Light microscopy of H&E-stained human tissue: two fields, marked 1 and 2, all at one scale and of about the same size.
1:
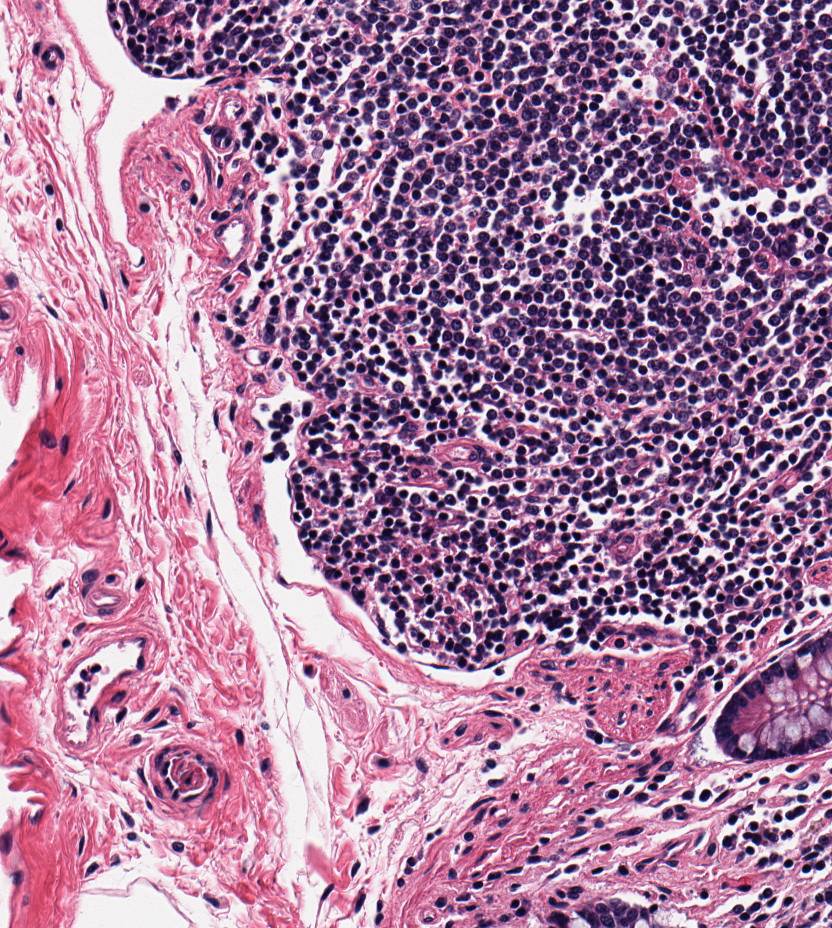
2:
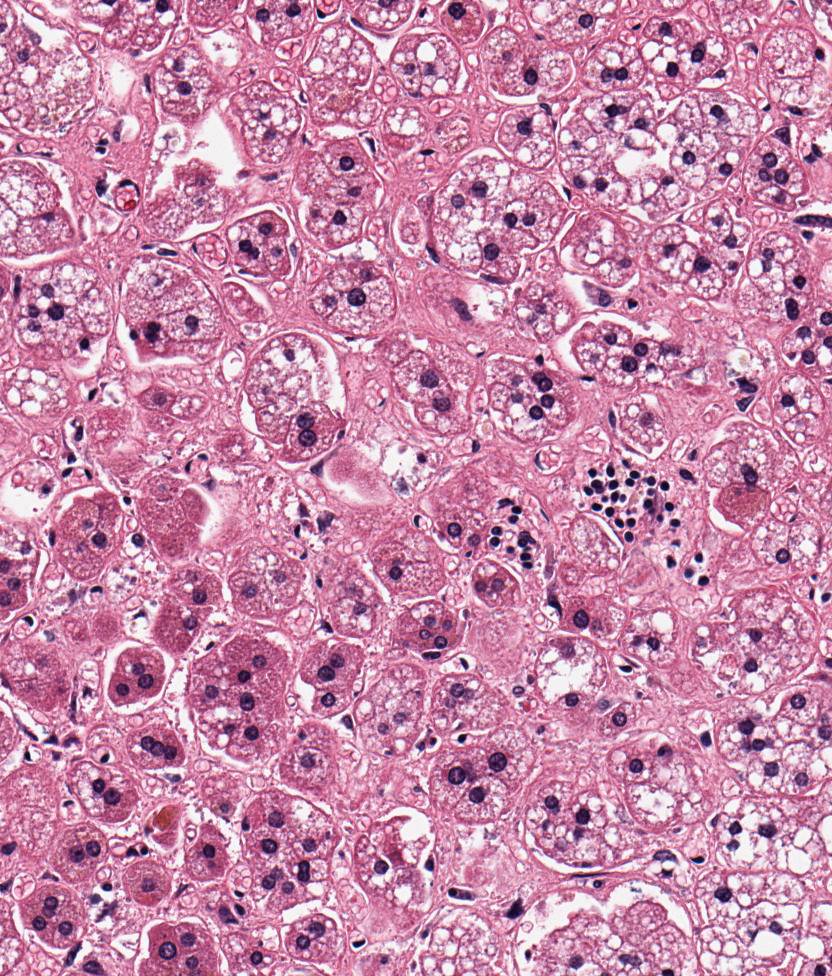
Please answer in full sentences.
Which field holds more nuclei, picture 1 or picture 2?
More nuclei lie in picture 1 than in picture 2.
